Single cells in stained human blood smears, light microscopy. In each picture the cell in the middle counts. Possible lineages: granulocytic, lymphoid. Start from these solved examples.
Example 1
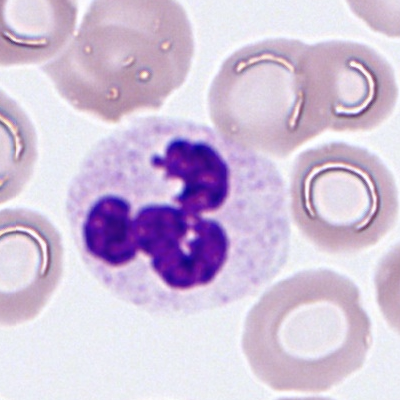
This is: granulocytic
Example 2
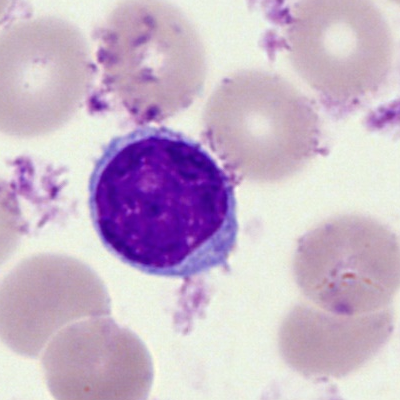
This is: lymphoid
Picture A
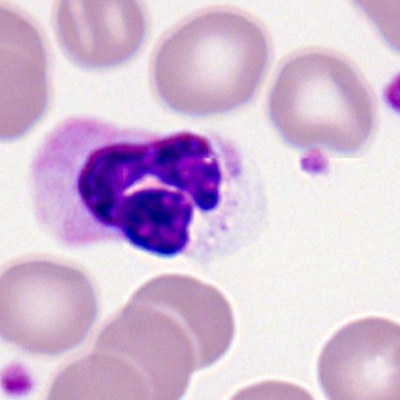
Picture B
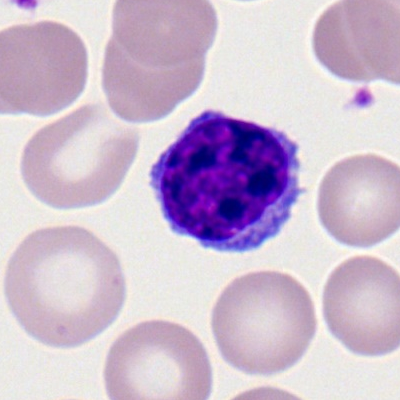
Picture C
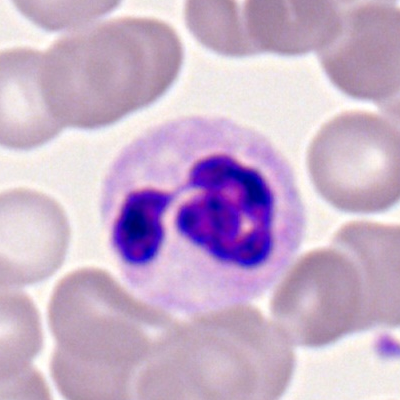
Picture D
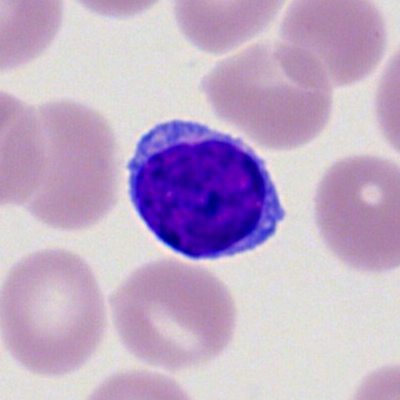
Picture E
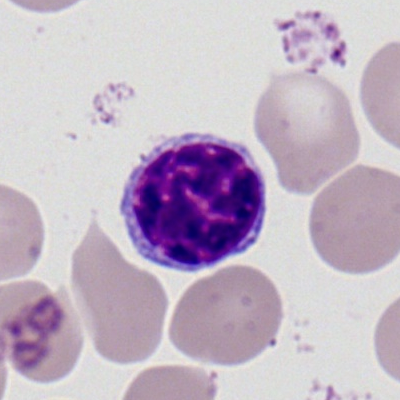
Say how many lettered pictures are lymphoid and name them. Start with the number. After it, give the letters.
3, namely B, D, E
